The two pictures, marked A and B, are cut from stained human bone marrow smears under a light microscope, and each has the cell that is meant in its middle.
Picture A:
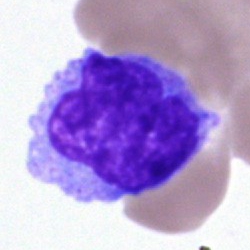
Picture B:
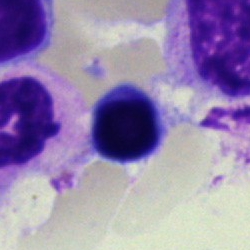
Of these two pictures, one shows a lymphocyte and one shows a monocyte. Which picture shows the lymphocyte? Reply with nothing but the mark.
B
